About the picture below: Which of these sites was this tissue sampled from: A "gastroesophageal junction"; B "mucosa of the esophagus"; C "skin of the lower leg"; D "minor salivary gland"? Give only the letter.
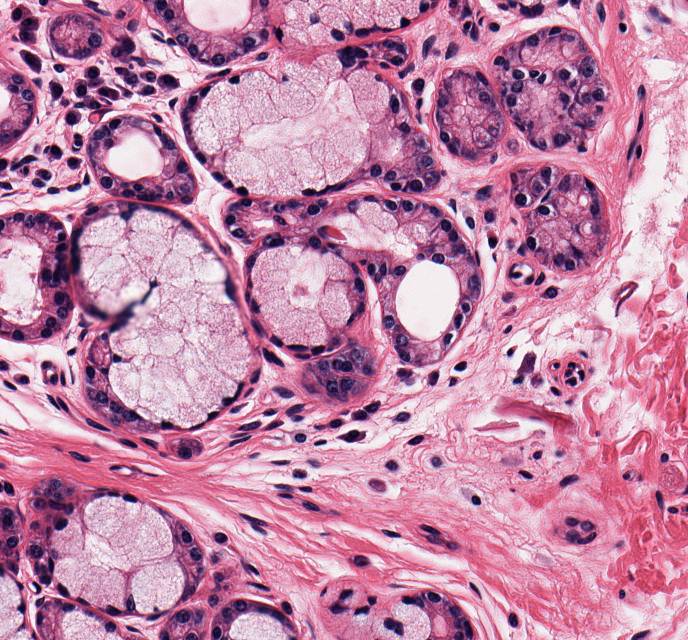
D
